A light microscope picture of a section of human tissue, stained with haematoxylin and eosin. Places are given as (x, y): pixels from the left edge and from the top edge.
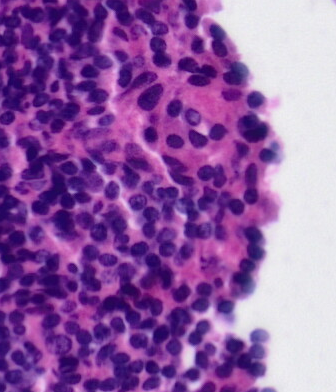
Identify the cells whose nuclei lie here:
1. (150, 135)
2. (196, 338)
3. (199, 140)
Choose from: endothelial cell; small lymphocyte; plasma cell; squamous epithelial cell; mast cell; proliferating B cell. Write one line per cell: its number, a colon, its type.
1: plasma cell
2: small lymphocyte
3: plasma cell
